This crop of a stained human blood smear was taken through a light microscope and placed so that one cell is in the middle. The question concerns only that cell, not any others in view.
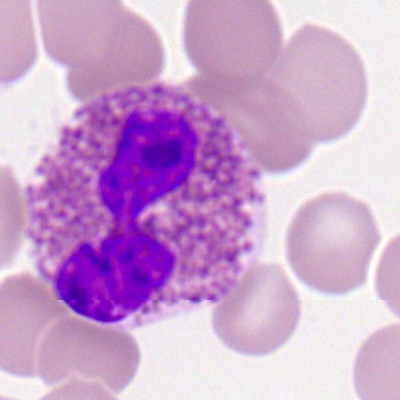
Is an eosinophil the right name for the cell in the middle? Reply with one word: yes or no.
yes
